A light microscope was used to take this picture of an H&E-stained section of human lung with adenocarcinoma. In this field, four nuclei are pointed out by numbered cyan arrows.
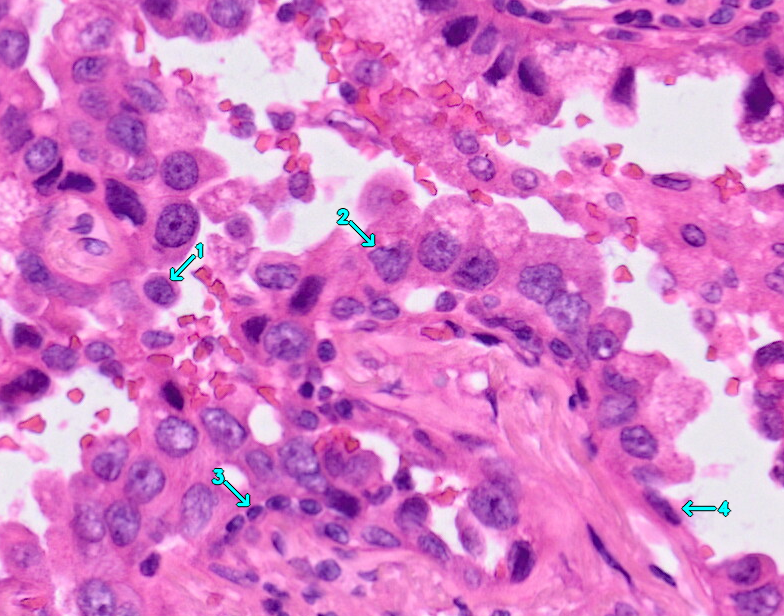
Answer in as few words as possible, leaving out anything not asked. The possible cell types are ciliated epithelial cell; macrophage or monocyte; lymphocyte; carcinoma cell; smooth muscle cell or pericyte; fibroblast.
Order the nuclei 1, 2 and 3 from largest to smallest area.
2, 1, 3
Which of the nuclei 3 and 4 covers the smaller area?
3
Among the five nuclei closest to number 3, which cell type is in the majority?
lymphocyte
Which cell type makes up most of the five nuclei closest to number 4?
carcinoma cell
